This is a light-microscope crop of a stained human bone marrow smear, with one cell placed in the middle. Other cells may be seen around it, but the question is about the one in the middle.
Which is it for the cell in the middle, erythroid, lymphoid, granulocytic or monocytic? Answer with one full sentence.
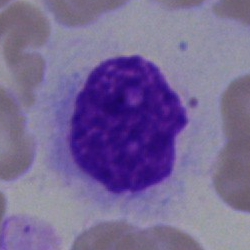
The cell in the middle of the frame falls under the lymphoid lineage.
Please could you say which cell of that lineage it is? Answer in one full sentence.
The cell centred in this crop is categorized as a hairy cell.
